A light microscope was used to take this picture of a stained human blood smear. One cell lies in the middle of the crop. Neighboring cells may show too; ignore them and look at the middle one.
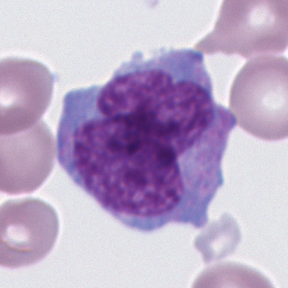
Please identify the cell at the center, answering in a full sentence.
The middle of this crop is occupied by an atypical promyelocyte.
